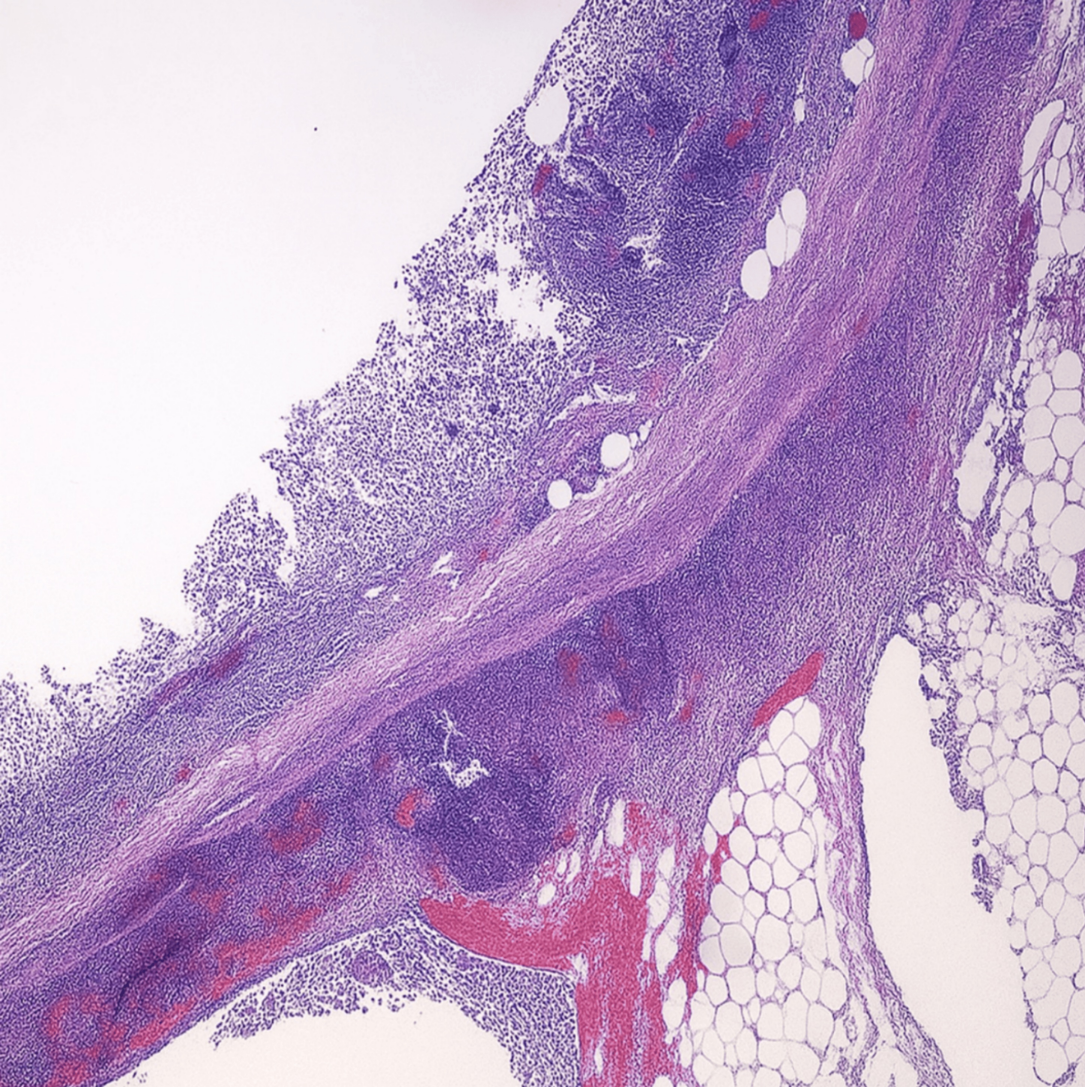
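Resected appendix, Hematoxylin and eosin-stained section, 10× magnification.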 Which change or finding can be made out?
transmural infiltration of inflammatory cells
